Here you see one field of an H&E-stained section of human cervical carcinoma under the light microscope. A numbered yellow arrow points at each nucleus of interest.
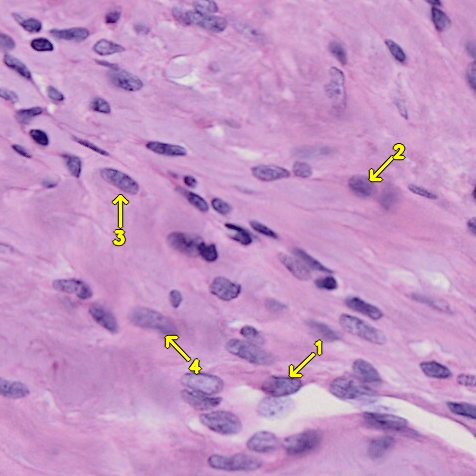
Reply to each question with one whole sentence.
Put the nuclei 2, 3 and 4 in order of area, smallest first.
The order from the smallest nucleus to the largest is 2, 3, 4.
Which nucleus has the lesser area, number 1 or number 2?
With nucleus 1 about 2 times its size, nucleus 2 is the smaller of the two.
